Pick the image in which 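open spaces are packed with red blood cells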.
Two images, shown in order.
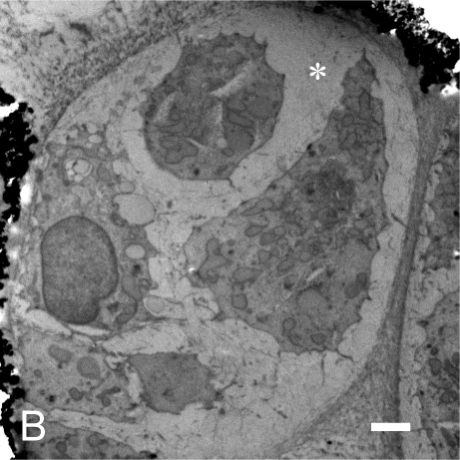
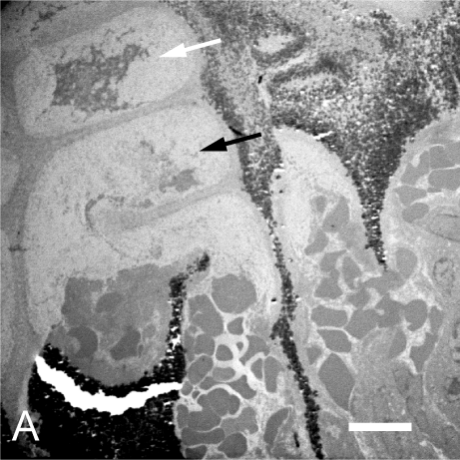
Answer: the second image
